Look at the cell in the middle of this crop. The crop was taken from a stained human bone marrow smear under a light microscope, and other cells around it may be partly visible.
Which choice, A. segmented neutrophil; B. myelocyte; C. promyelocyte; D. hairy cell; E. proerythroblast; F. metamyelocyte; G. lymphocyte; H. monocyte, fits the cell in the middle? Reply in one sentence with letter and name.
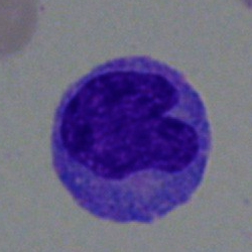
The correct option here is H; the middle cell is a monocyte.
